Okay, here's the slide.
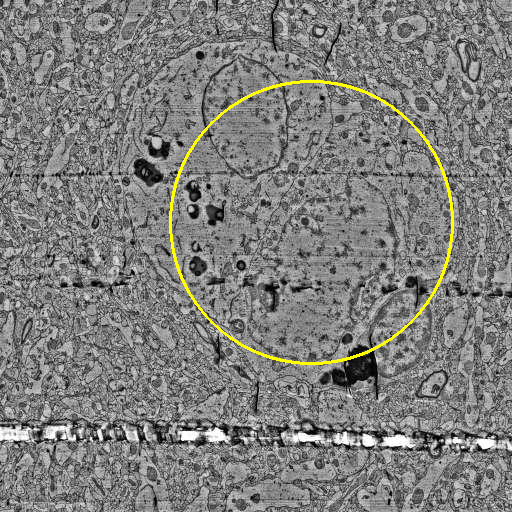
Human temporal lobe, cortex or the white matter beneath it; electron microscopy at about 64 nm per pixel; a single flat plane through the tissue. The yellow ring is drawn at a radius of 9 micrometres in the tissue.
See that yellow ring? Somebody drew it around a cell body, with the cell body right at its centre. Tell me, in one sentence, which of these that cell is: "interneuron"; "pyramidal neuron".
The cell in the middle of the ring is an interneuron.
